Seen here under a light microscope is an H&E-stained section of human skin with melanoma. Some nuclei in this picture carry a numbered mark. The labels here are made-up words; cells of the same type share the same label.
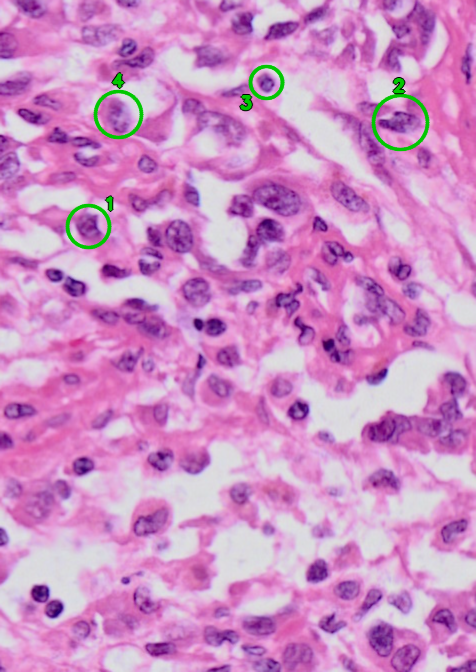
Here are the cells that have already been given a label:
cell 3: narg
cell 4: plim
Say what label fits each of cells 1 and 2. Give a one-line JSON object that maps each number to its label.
{"1": "plim", "2": "plim"}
